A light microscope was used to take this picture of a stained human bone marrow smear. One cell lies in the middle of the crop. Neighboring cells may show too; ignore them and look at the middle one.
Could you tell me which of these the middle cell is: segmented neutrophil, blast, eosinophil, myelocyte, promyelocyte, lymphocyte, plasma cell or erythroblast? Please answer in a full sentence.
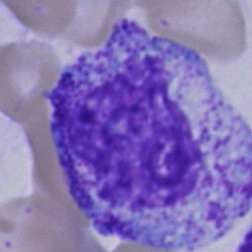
As for the cell in the middle, it is a myelocyte.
